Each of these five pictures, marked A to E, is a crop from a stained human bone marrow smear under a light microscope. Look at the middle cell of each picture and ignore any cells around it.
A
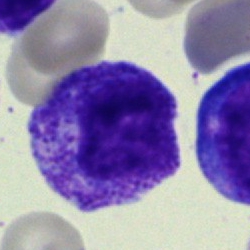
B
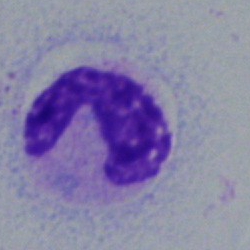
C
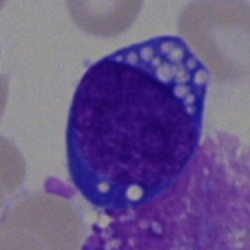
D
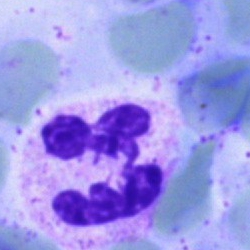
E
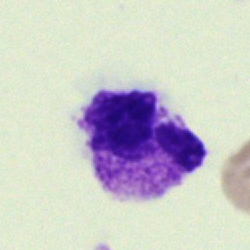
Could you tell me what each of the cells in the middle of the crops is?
A: myelocyte
B: band neutrophil
C: blast
D: segmented neutrophil
E: segmented neutrophil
